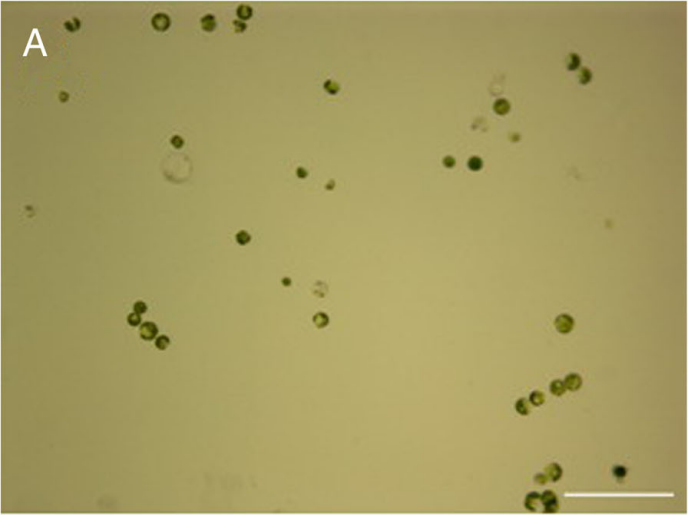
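These are isolated leaf mesophyll protoplasts, seen as round, free-floating cells scattered across the field singly, in pairs and in short chains. Each is a smooth sphere without the angular outline of a walled plant cell, and its interior is crowded with dark green granules that are the chloroplasts, often pressed toward the rim. The spheres vary in size, some small and dense, others larger and paler. A few nearly transparent, empty round outlines lie among them, likely spheres that have lost their contents. The round shape and the chloroplast-filled interior mark them as mesophyll cells freed of their walls.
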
